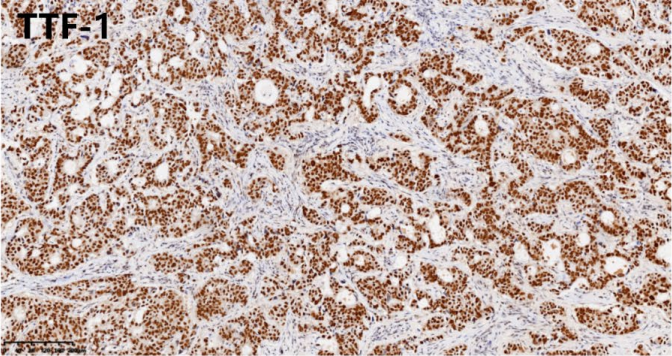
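Tumour cells lie in closely packed nests and trabeculae separated by thin strands of pale fibrous stroma. Nearly all tumour nuclei are stained dark brown, while the cytoplasm and the stromal cells stay pale blue. Many small round empty spaces, like glandular lumina, open within the nests.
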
